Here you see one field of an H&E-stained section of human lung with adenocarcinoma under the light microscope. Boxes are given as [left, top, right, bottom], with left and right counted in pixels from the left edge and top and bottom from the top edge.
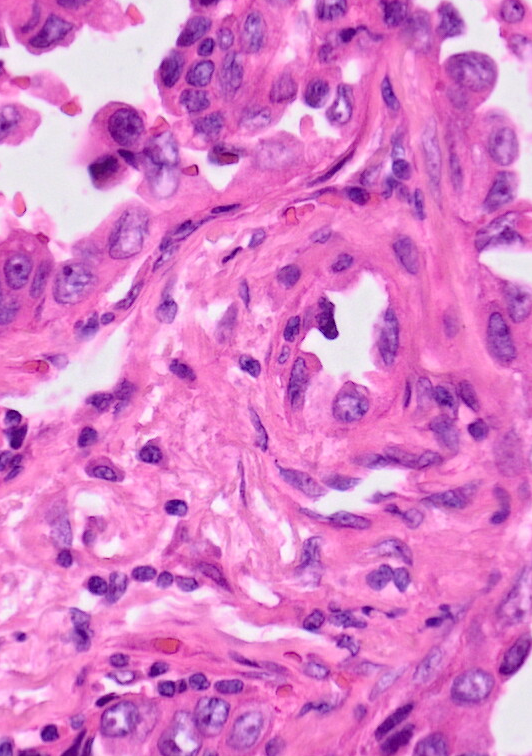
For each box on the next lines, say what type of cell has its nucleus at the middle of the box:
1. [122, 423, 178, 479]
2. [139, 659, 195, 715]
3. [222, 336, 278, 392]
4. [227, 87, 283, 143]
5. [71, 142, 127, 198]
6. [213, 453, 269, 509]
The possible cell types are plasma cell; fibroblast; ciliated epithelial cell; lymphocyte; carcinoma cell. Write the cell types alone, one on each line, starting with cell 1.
plasma cell
lymphocyte
lymphocyte
carcinoma cell
carcinoma cell
fibroblast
